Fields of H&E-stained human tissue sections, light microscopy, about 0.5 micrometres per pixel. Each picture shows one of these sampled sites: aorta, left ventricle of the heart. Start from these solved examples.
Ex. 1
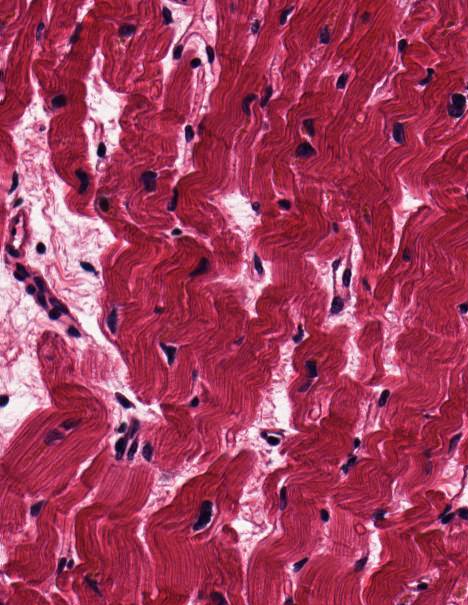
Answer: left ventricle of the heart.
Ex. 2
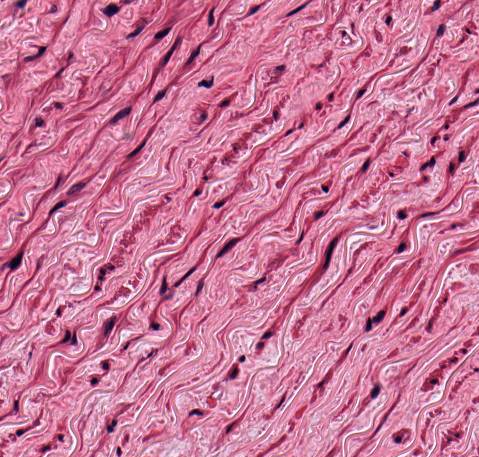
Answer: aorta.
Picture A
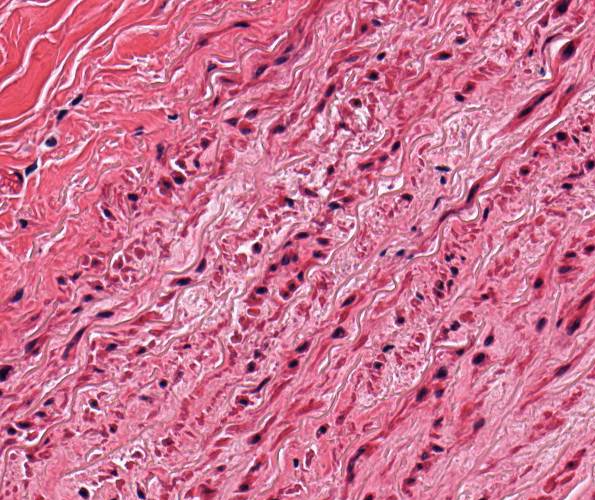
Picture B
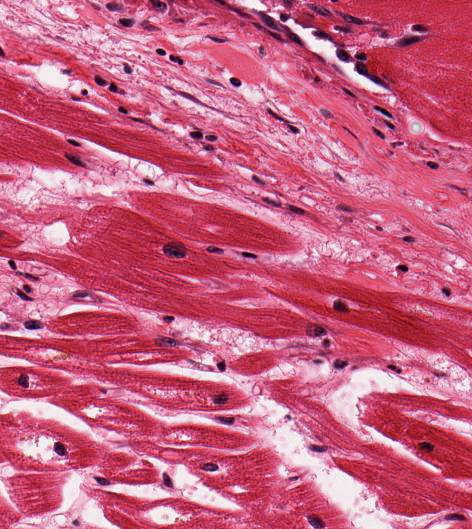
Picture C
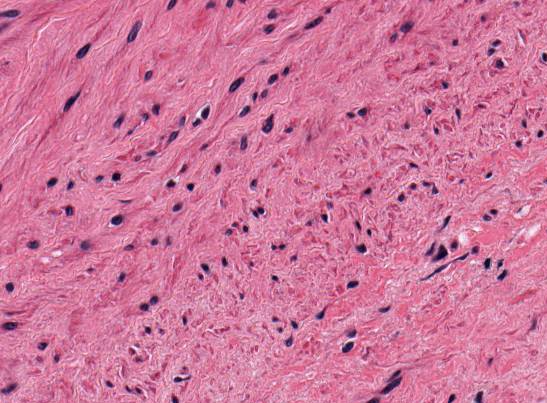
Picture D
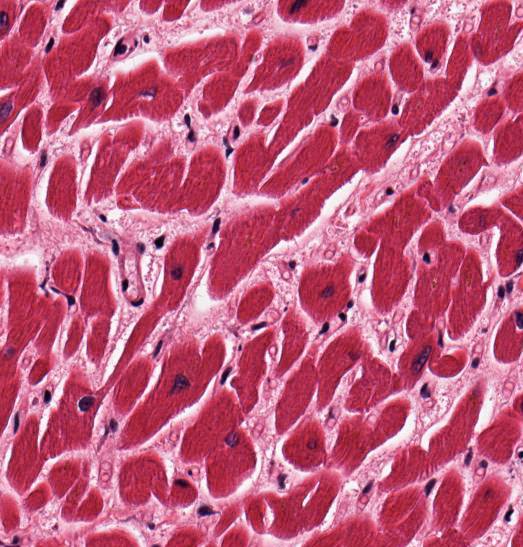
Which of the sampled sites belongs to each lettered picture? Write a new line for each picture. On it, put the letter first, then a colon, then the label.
A: aorta.
B: left ventricle of the heart.
C: aorta.
D: left ventricle of the heart.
